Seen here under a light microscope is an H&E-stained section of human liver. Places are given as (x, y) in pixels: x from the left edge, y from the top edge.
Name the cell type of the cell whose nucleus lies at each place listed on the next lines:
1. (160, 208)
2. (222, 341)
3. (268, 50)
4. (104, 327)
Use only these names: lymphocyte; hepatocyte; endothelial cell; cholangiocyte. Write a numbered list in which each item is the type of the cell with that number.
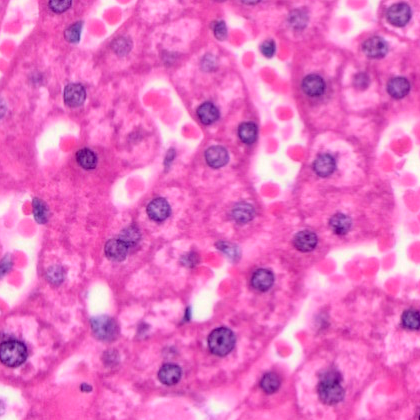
1. hepatocyte
2. hepatocyte
3. lymphocyte
4. endothelial cell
